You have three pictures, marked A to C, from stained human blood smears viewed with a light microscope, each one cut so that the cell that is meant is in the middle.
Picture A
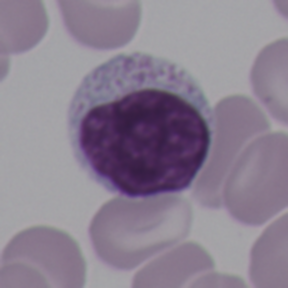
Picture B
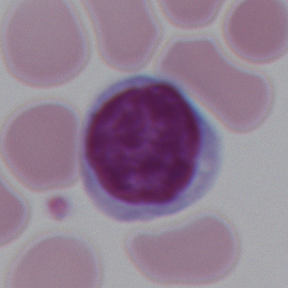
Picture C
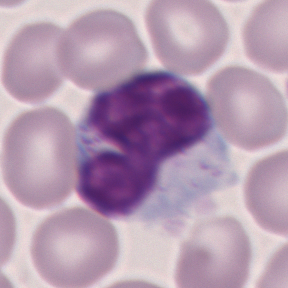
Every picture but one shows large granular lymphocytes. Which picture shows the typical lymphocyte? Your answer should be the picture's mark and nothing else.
B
